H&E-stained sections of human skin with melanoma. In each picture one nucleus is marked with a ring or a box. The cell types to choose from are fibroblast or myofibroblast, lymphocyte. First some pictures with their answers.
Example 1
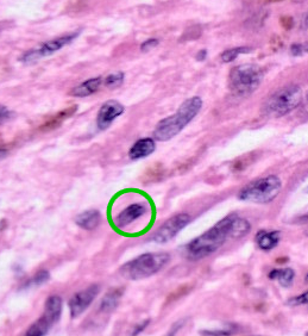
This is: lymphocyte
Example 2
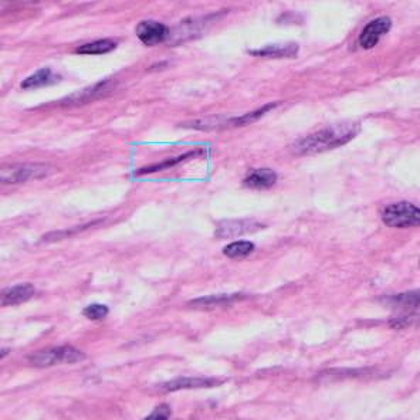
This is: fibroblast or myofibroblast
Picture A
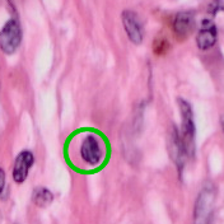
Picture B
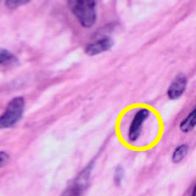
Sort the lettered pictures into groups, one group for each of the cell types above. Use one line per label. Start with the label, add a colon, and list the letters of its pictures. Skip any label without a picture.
lymphocyte: A, B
